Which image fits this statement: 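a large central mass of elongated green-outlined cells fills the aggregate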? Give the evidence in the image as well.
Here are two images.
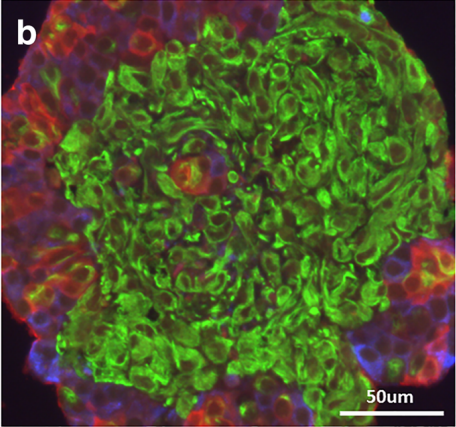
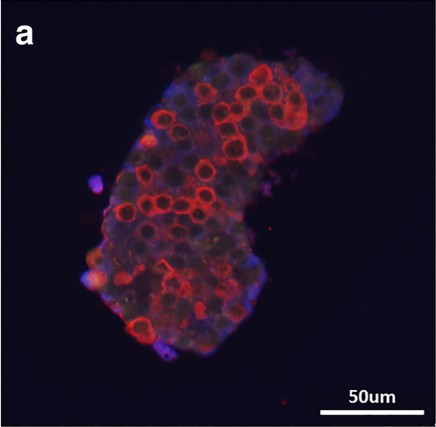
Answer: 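The first image. Second image: the aggregate consists of rounded red and bluish cells with no green mass.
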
